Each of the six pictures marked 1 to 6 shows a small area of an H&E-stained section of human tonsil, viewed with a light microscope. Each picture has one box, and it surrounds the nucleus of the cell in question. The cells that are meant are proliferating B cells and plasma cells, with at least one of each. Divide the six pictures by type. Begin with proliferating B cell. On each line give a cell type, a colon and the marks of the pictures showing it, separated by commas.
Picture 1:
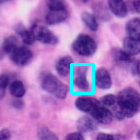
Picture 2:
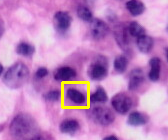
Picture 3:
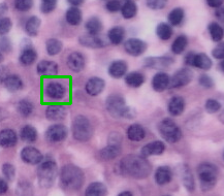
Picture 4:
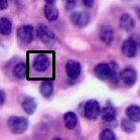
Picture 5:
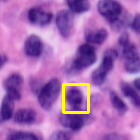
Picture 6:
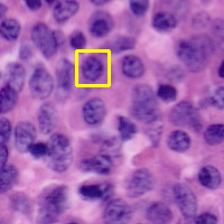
proliferating B cell: 1, 5
plasma cell: 2, 3, 4, 6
